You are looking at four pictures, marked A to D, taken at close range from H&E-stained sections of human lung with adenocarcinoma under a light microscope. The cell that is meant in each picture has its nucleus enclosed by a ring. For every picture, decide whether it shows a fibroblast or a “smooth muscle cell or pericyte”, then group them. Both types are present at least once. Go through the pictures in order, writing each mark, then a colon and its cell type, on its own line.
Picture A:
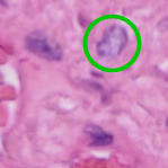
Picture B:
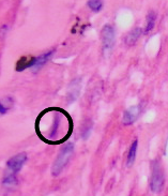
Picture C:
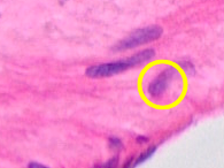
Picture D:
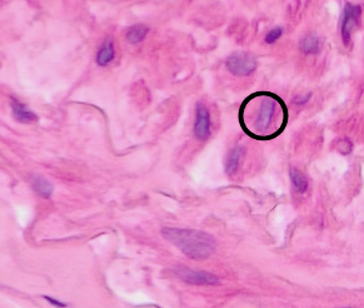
A: fibroblast
B: smooth muscle cell or pericyte
C: smooth muscle cell or pericyte
D: smooth muscle cell or pericyte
